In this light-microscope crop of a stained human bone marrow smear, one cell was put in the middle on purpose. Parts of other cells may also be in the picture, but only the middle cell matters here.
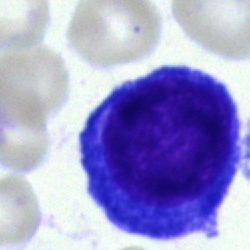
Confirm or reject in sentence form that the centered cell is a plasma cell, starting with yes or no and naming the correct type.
No, the cell at the center of this crop is a proerythroblast instead of a plasma cell.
